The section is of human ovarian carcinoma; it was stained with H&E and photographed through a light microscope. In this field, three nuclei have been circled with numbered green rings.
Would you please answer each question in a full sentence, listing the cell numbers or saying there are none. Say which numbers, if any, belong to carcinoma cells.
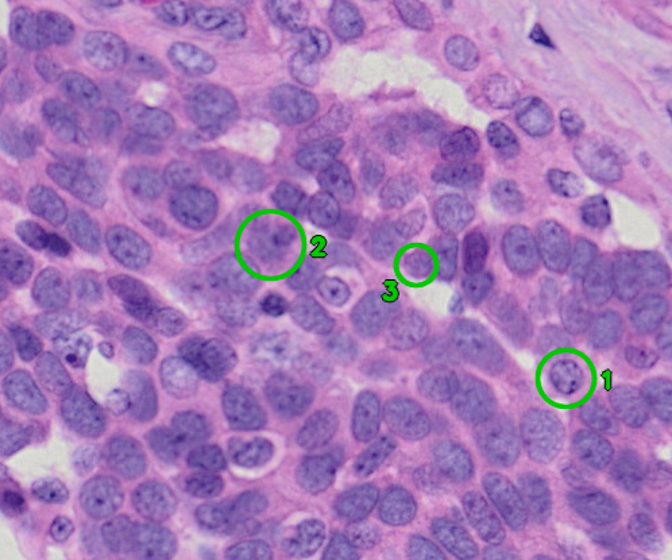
The cells that bear the numbers 2 and 3 are carcinoma cells.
